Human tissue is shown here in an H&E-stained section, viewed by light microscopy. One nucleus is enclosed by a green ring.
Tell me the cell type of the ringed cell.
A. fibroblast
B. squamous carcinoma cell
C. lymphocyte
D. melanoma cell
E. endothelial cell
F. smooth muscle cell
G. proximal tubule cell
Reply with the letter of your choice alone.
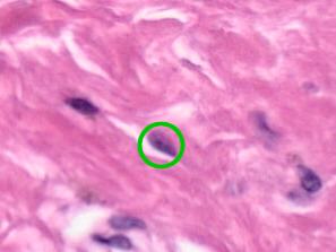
A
